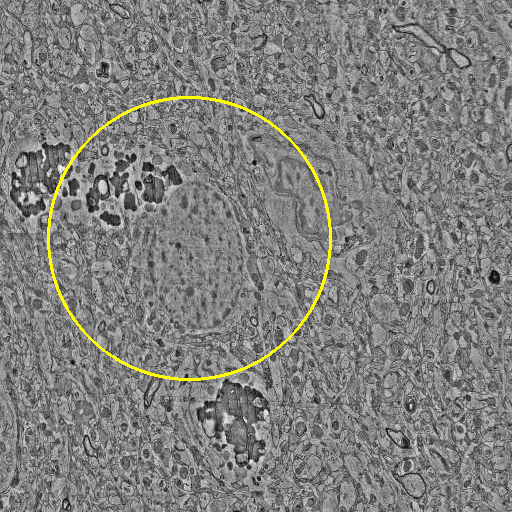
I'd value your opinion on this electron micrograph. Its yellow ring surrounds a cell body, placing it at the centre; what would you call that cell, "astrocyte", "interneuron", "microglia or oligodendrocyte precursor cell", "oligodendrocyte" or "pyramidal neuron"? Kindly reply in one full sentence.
It is an astrocyte that sits centred within the yellow ring in this micrograph.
